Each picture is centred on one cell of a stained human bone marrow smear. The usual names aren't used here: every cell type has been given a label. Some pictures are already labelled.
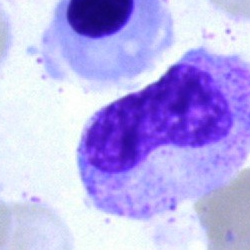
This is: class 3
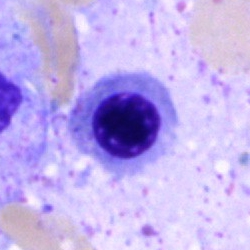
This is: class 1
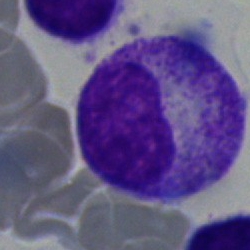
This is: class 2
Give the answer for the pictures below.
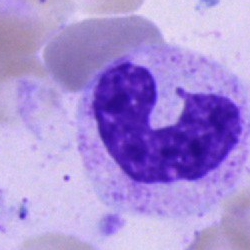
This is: class 3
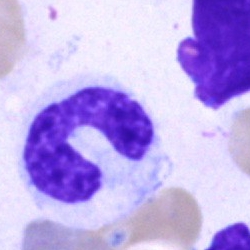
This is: class 3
